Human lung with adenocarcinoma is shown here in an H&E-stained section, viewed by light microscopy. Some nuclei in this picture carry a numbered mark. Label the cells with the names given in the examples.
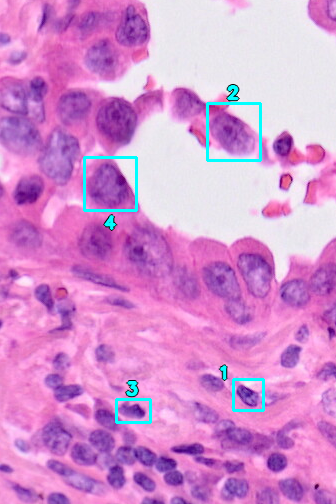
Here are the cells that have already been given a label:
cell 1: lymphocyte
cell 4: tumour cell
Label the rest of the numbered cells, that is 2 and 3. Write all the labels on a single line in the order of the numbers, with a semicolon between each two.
tumour cell; lymphocyte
